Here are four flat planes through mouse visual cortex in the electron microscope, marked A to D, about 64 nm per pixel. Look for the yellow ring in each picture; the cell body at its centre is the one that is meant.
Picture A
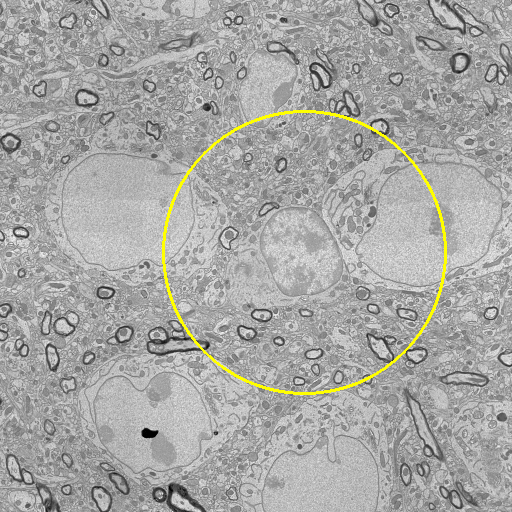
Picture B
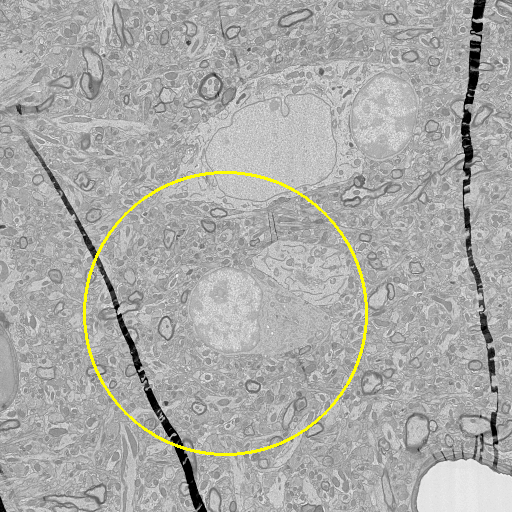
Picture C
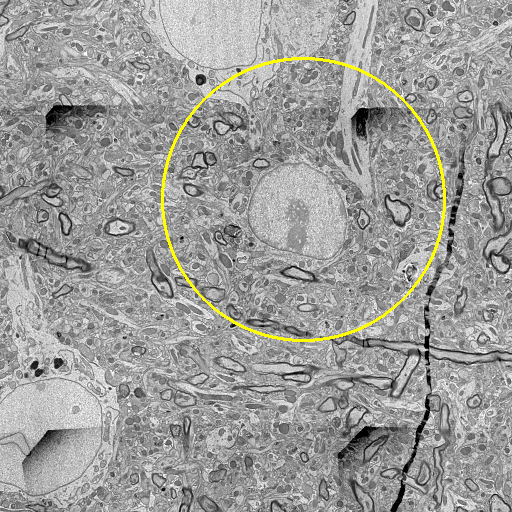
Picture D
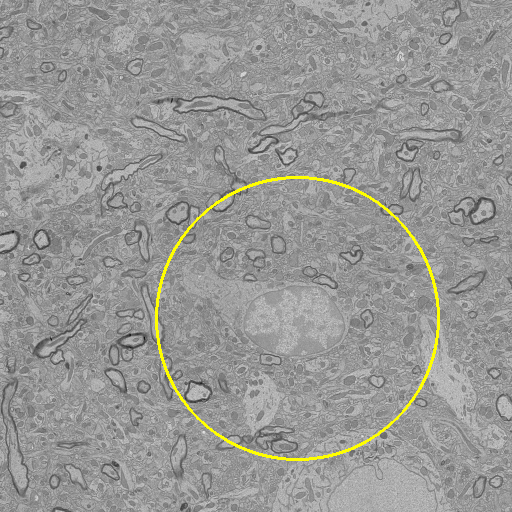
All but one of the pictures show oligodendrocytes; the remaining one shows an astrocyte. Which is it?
Picture C is the one that shows the astrocyte.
